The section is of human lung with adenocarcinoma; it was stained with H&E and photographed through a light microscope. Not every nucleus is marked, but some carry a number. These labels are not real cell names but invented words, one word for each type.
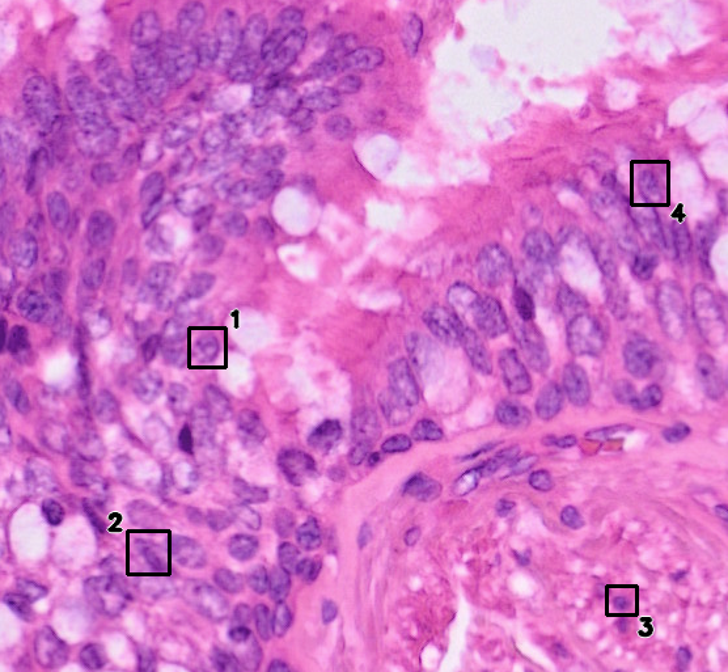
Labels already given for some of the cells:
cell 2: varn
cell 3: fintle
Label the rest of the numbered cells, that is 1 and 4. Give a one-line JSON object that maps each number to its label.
{"1": "varn", "4": "varn"}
